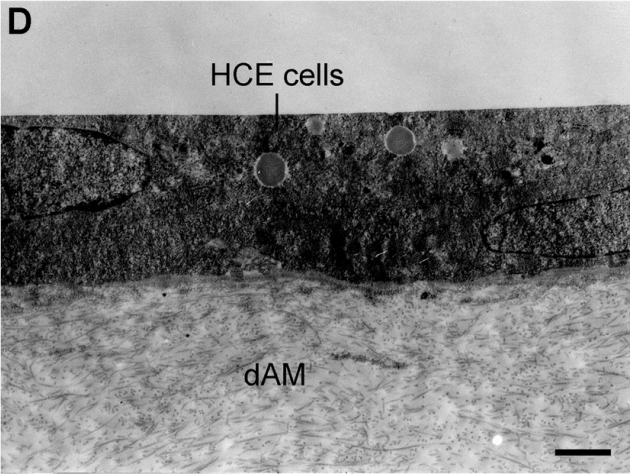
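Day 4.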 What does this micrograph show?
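The cells are flattened, with elongated nuclei at either side and a dense, finely granular cytoplasm holding a few round vesicles. The apical surface facing the empty space above is smooth and even. Beneath the cells, the membrane is pale and filled with fine fibrils running in various directions.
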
